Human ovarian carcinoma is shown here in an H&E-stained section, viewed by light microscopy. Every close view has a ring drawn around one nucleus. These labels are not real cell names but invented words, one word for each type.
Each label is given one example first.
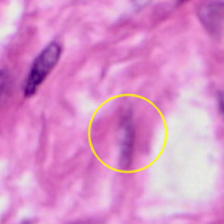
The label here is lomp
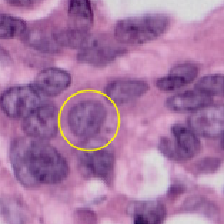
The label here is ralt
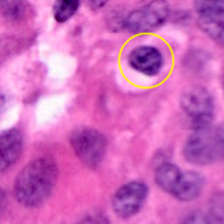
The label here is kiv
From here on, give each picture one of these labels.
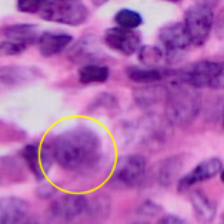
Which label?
ralt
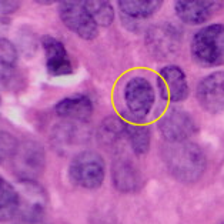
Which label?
kiv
